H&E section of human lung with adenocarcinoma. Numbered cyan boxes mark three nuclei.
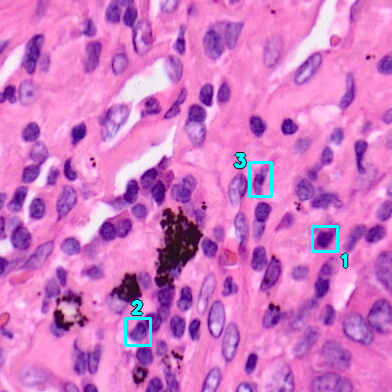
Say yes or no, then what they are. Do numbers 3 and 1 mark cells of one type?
No, unlike cell 1, which is a plasma cell, cell 3 is a lymphocyte.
